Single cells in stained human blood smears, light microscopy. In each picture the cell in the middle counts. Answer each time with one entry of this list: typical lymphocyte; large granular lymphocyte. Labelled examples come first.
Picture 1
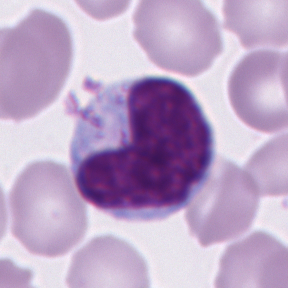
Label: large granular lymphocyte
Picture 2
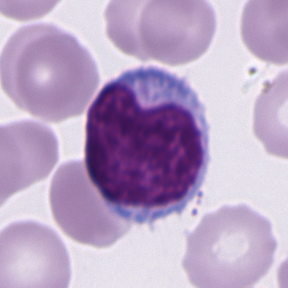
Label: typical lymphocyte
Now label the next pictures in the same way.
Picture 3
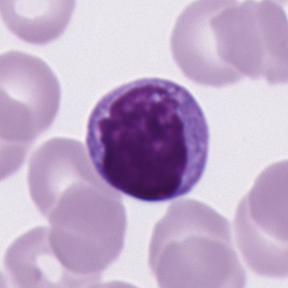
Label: typical lymphocyte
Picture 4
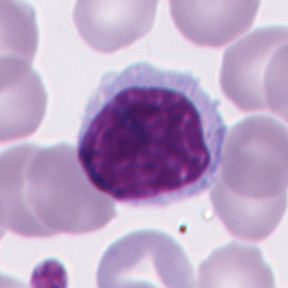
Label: typical lymphocyte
